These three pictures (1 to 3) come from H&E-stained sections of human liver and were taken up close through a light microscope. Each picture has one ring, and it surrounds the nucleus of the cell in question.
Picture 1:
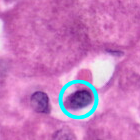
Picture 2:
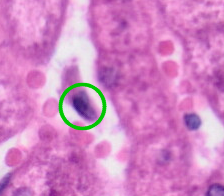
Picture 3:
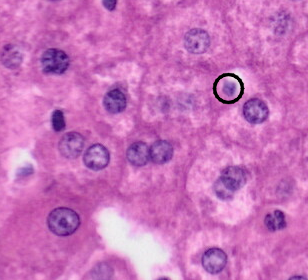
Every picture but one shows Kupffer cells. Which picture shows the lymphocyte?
3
